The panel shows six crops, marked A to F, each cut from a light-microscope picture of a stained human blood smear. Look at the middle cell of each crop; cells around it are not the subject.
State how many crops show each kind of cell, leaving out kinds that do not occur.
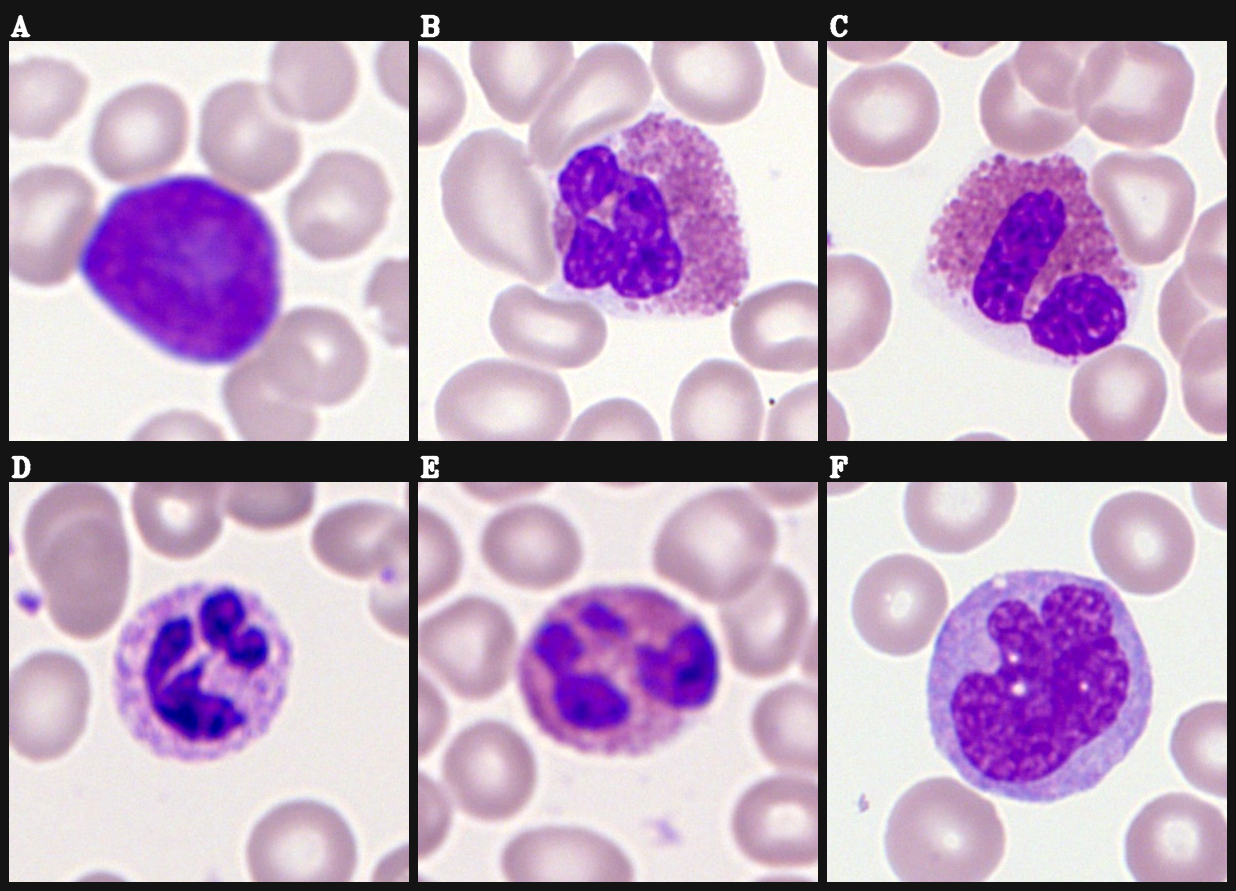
eosinophil: 3
myeloblast: 1
segmented neutrophil: 1
monocyte: 1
